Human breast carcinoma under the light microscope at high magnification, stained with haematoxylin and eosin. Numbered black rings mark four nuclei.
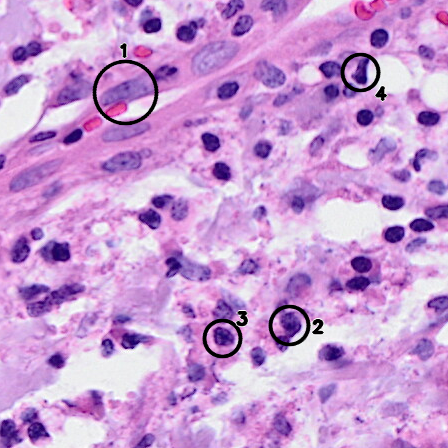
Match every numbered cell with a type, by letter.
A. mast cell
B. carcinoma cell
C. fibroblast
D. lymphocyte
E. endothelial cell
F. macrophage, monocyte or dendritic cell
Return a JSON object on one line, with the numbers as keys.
{"1": "E", "2": "D", "3": "D", "4": "D"}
